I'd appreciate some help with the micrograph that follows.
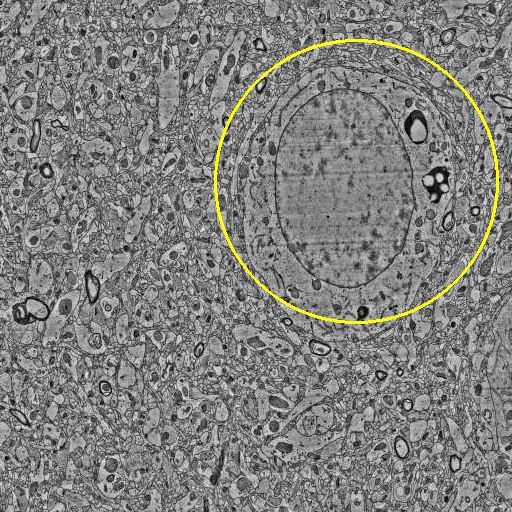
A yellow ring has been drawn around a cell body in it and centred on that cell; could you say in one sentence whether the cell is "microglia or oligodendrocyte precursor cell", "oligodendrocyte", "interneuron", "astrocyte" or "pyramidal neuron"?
It is a pyramidal neuron at the centre of the ring.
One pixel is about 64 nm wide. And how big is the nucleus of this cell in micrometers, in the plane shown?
Approximately 13 by 9 micrometers in this plane.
